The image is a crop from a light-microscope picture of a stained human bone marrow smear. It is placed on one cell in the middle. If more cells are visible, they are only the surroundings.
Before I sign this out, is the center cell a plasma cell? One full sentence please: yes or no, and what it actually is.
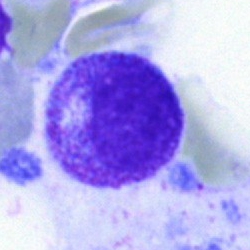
No, calling it a plasma cell is wrong; the middle cell is a myelocyte.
